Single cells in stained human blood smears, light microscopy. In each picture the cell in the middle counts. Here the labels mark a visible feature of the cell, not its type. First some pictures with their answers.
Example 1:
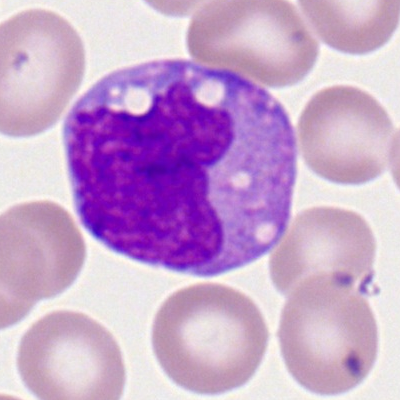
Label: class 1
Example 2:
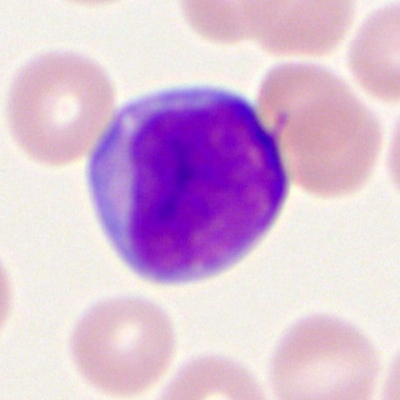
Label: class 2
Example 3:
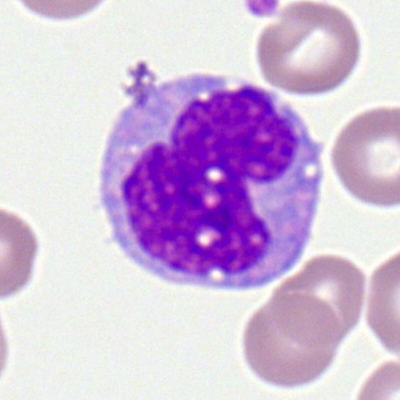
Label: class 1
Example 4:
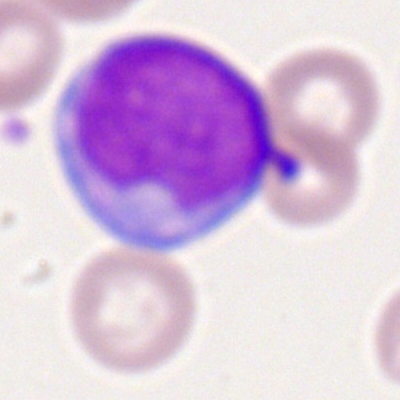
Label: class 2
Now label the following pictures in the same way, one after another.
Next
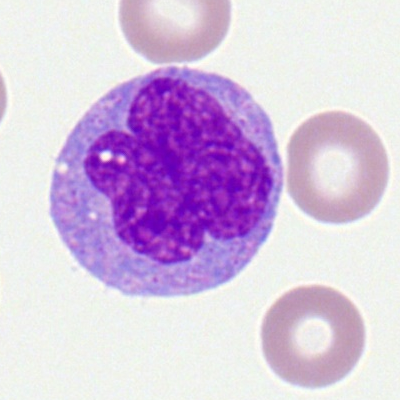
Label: class 1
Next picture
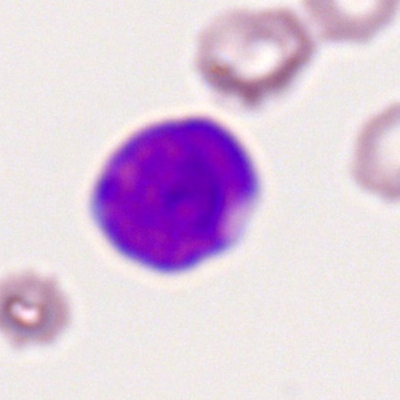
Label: class 1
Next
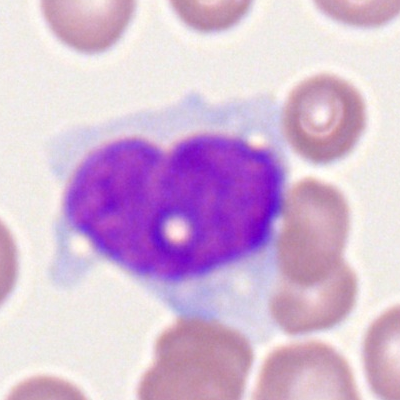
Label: class 2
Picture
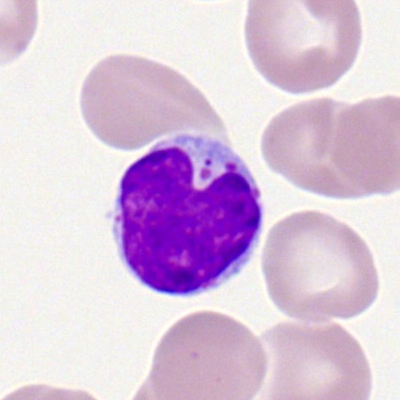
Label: class 1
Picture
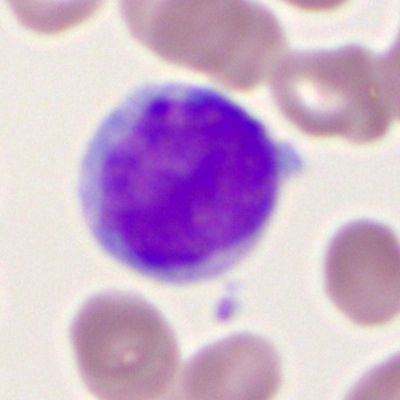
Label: class 2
